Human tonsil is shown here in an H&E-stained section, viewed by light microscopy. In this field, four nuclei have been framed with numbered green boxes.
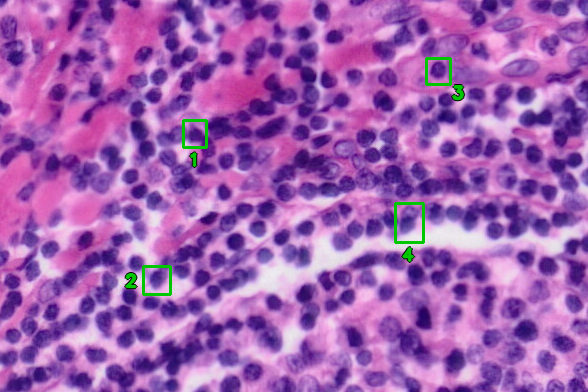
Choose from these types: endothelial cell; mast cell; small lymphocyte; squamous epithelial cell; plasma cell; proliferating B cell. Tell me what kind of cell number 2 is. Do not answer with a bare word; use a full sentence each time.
The cell with the number 2 is a small lymphocyte.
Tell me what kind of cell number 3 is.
As for number 3, that cell is an endothelial cell.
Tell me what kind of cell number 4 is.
The cell referenced by the number 4 is a small lymphocyte in this field.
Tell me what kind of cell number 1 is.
The marked cell bearing number 1 is a small lymphocyte.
